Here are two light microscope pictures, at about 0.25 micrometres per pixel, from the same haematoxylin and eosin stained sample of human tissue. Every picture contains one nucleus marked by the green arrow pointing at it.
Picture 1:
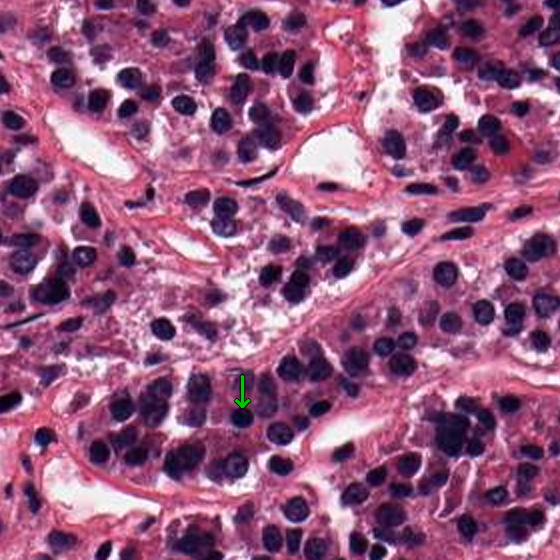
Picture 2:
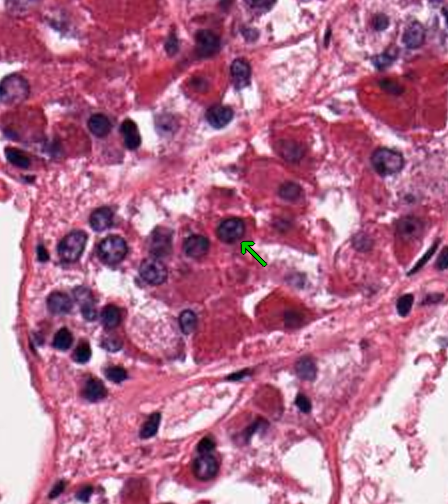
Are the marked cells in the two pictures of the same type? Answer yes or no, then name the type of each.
Yes, both are anterior pituitary cells.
